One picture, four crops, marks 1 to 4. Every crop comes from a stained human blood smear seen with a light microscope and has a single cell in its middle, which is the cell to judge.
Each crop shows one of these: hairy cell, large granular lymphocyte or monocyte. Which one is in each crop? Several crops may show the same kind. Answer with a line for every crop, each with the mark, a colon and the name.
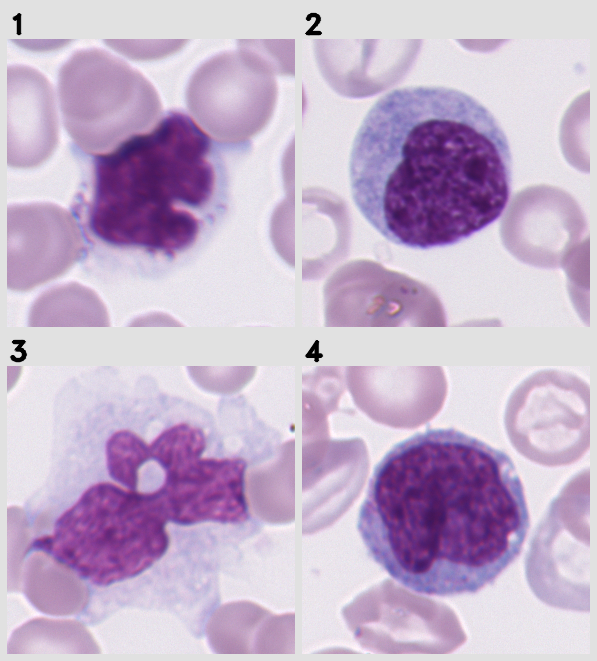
1: large granular lymphocyte
2: monocyte
3: monocyte
4: monocyte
